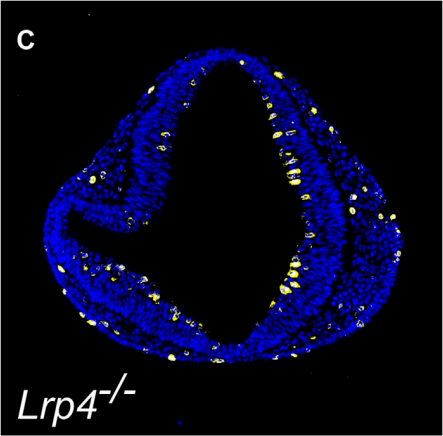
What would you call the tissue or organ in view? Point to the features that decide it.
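Neuroepithelium. A thick, densely nucleated epithelial wall surrounds a central open cavity. Elongated nuclei are packed in many apparent rows across the wall.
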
